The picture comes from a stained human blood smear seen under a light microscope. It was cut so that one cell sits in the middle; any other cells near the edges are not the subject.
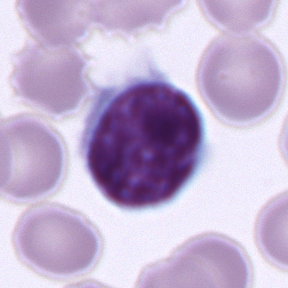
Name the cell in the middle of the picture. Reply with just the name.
typical lymphocyte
